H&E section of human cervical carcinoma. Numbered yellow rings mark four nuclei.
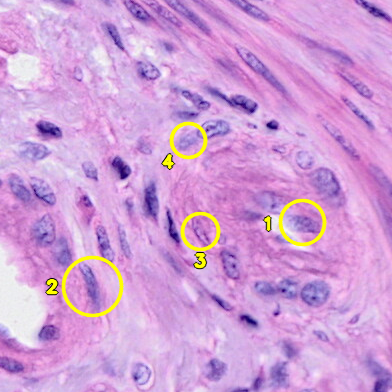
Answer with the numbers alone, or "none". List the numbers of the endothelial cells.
1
